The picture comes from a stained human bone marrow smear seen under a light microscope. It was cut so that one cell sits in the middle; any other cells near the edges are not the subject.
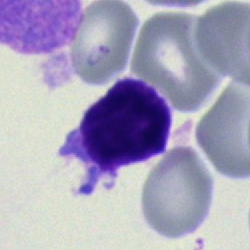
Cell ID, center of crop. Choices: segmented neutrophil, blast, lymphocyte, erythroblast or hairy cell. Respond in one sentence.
Here the centrally located cell is a lymphocyte.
